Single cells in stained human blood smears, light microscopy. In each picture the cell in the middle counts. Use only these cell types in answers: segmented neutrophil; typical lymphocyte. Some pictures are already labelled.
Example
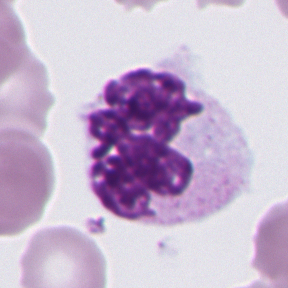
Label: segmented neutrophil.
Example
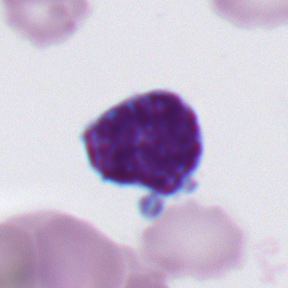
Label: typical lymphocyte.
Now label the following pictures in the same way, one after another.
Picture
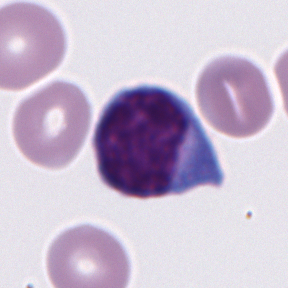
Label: typical lymphocyte.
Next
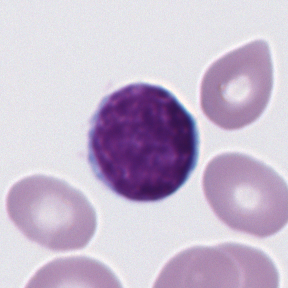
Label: typical lymphocyte.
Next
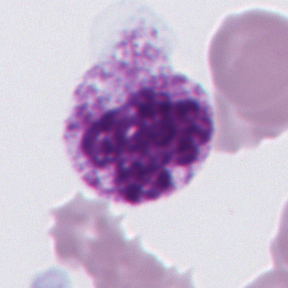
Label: segmented neutrophil.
